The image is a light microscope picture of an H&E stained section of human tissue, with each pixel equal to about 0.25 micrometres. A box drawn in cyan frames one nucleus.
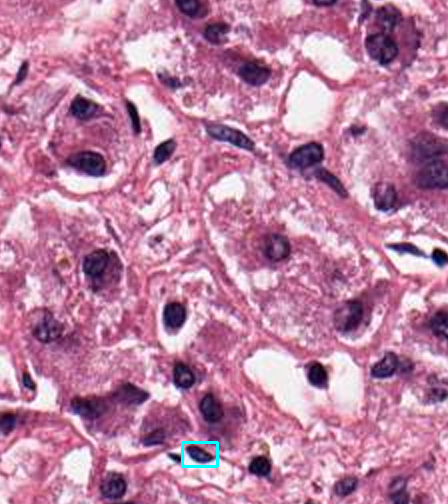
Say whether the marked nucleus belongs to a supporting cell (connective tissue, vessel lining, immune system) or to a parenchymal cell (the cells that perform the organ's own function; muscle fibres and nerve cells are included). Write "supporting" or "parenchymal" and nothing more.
supporting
